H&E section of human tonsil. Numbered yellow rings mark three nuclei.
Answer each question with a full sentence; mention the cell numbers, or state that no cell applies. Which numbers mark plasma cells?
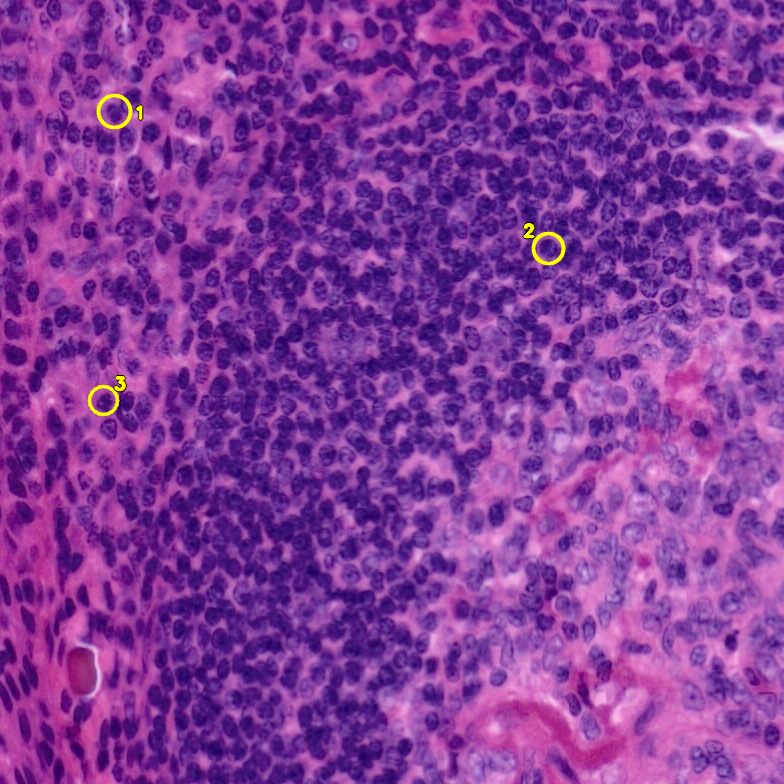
In short, the numbered cells 1 and 3 are plasma cells.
